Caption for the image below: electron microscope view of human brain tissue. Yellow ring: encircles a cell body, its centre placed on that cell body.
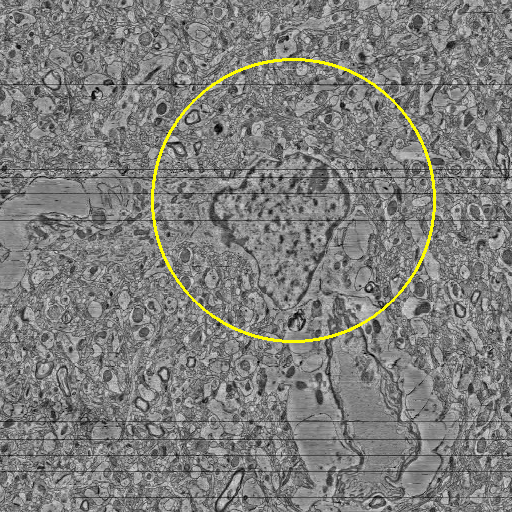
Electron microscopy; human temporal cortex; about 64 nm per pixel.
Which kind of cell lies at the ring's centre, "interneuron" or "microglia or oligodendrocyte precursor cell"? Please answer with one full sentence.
The picture shows a microglial cell or oligodendrocyte precursor cell at the centre of the yellow ring.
